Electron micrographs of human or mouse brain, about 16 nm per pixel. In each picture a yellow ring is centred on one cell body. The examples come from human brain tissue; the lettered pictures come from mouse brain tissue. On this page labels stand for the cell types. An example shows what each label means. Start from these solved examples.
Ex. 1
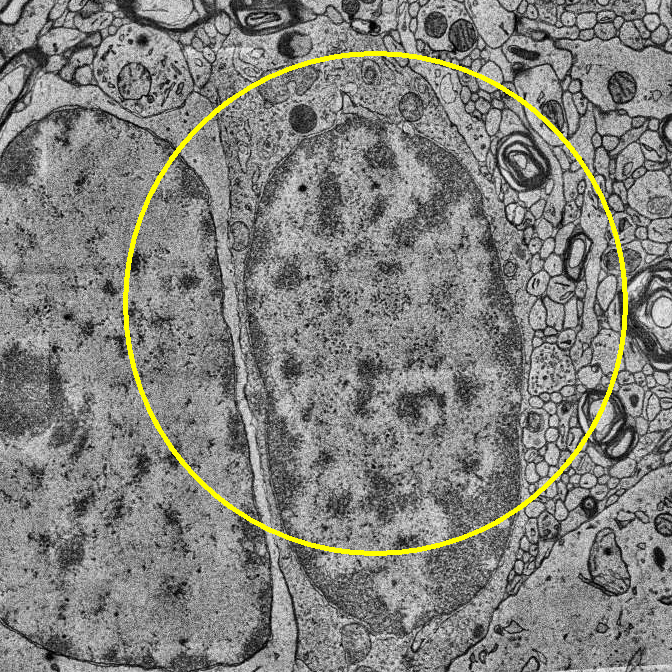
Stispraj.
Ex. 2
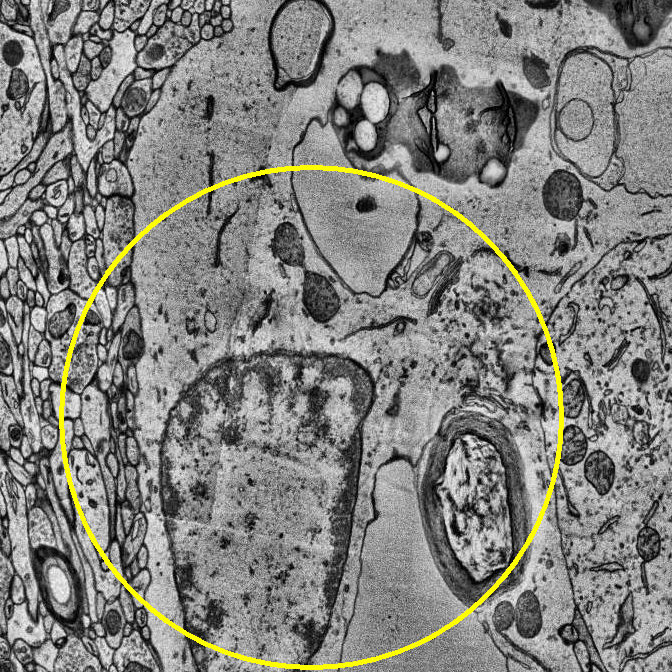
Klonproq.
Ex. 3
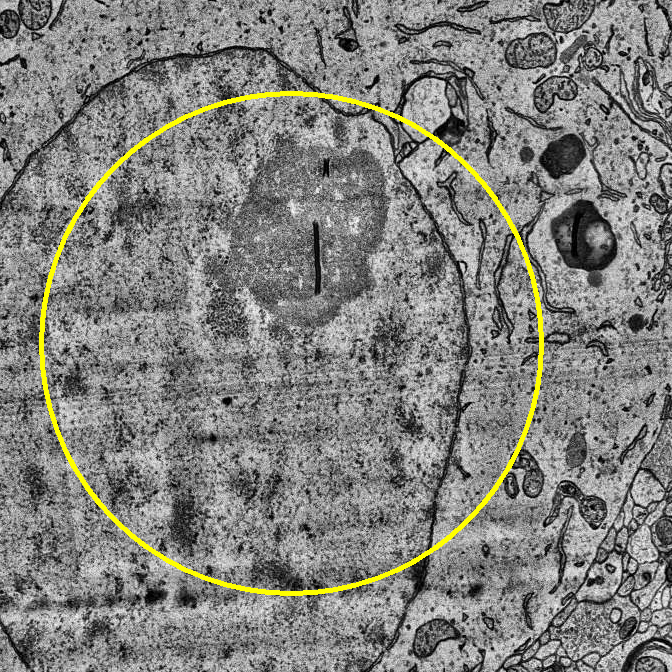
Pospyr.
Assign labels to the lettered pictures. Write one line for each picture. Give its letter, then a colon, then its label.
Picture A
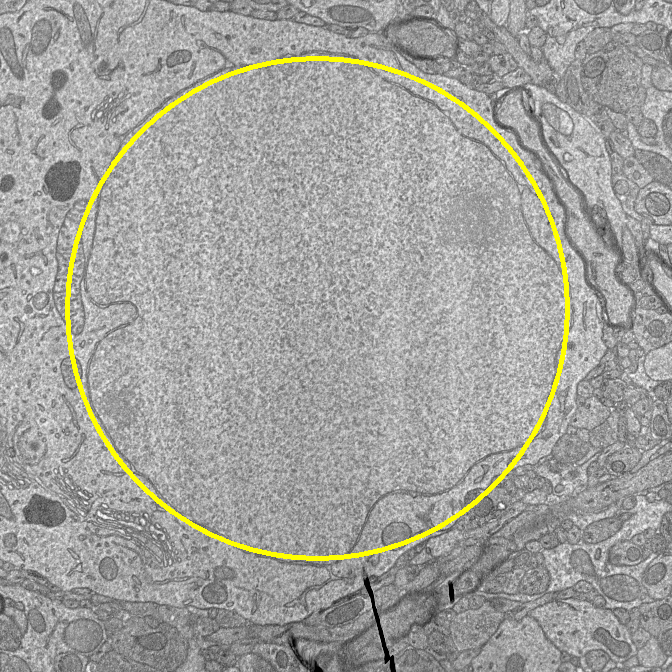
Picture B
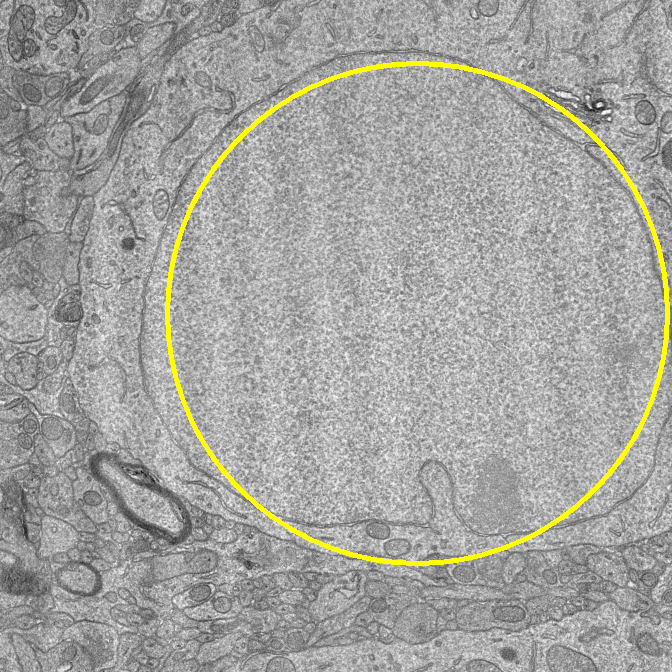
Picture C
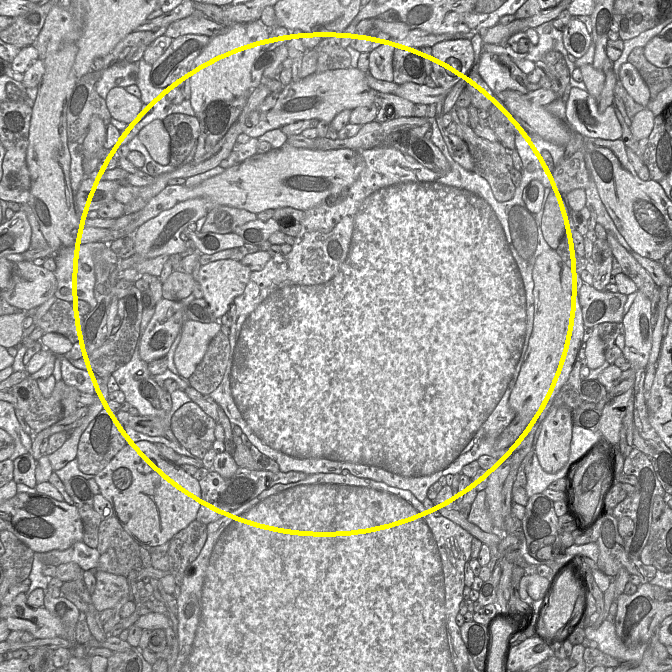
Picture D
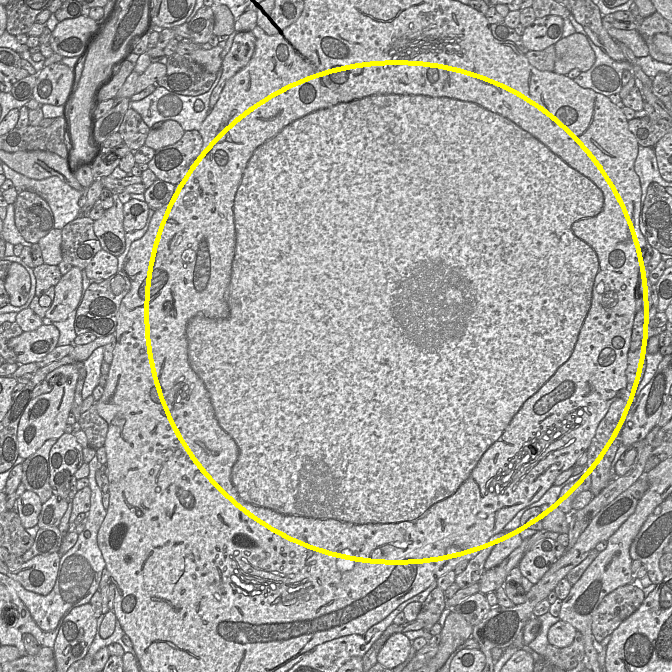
A: Pospyr.
B: Pospyr.
C: Klonproq.
D: Pospyr.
